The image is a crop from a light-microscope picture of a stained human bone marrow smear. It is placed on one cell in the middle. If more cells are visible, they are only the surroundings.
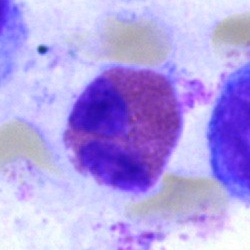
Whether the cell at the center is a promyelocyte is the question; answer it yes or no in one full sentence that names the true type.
No, not a promyelocyte: the cell in the middle of this crop is an eosinophil.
